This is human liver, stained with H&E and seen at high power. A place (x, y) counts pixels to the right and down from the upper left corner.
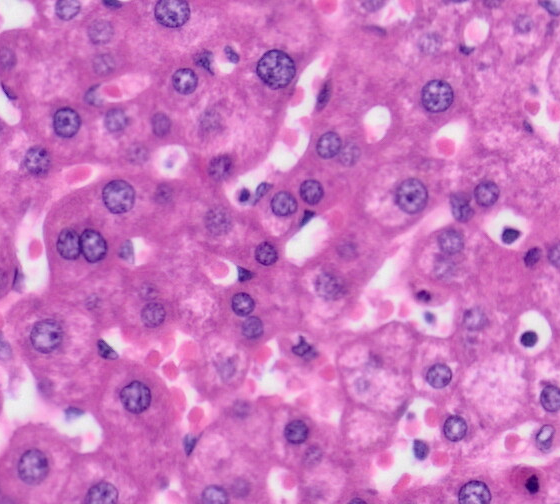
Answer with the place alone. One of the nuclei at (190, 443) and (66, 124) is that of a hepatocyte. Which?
(66, 124)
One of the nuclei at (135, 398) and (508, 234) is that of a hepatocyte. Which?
(135, 398)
